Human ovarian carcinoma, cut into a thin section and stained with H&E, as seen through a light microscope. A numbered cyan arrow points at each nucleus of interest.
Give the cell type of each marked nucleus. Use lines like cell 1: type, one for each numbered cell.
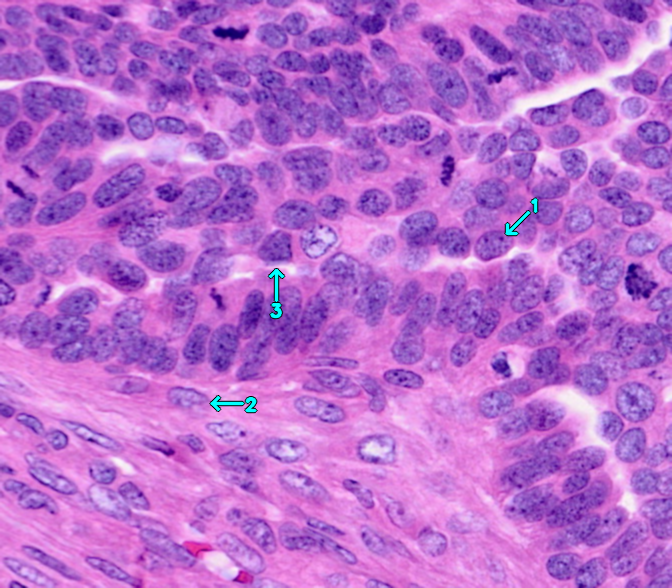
cell 1: carcinoma cell
cell 2: fibroblast
cell 3: carcinoma cell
